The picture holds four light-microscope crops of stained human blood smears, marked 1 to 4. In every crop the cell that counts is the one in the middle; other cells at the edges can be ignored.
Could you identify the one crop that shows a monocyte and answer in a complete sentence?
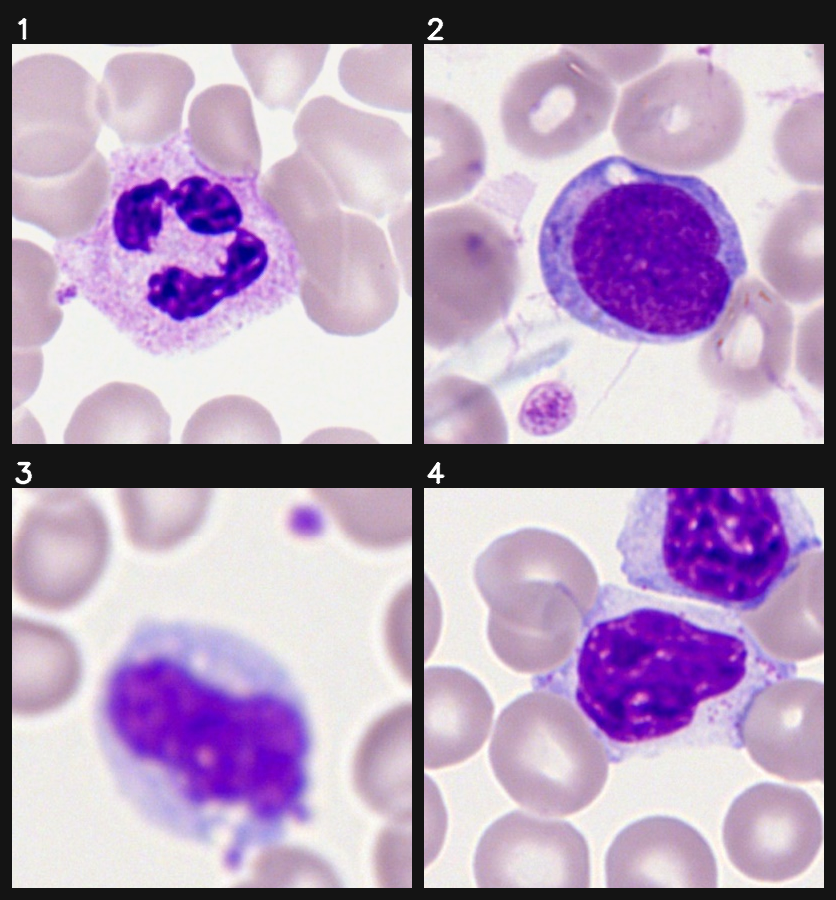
Crop 3 shows a monocyte, and no other crop does.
